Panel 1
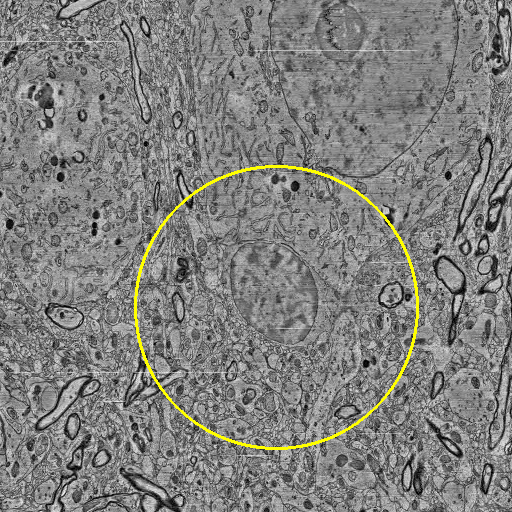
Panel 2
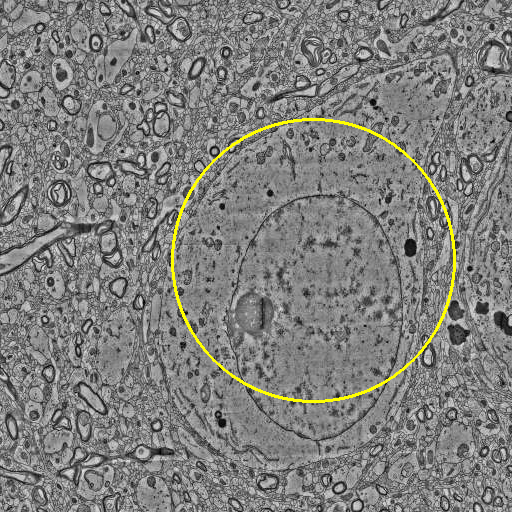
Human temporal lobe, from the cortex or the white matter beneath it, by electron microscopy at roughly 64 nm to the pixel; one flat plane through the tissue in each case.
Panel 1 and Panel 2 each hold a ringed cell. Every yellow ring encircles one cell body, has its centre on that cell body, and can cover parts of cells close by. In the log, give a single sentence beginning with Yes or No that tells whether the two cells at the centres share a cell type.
No, in Panel 1 and Panel 2 the centred cells are of two cell types.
